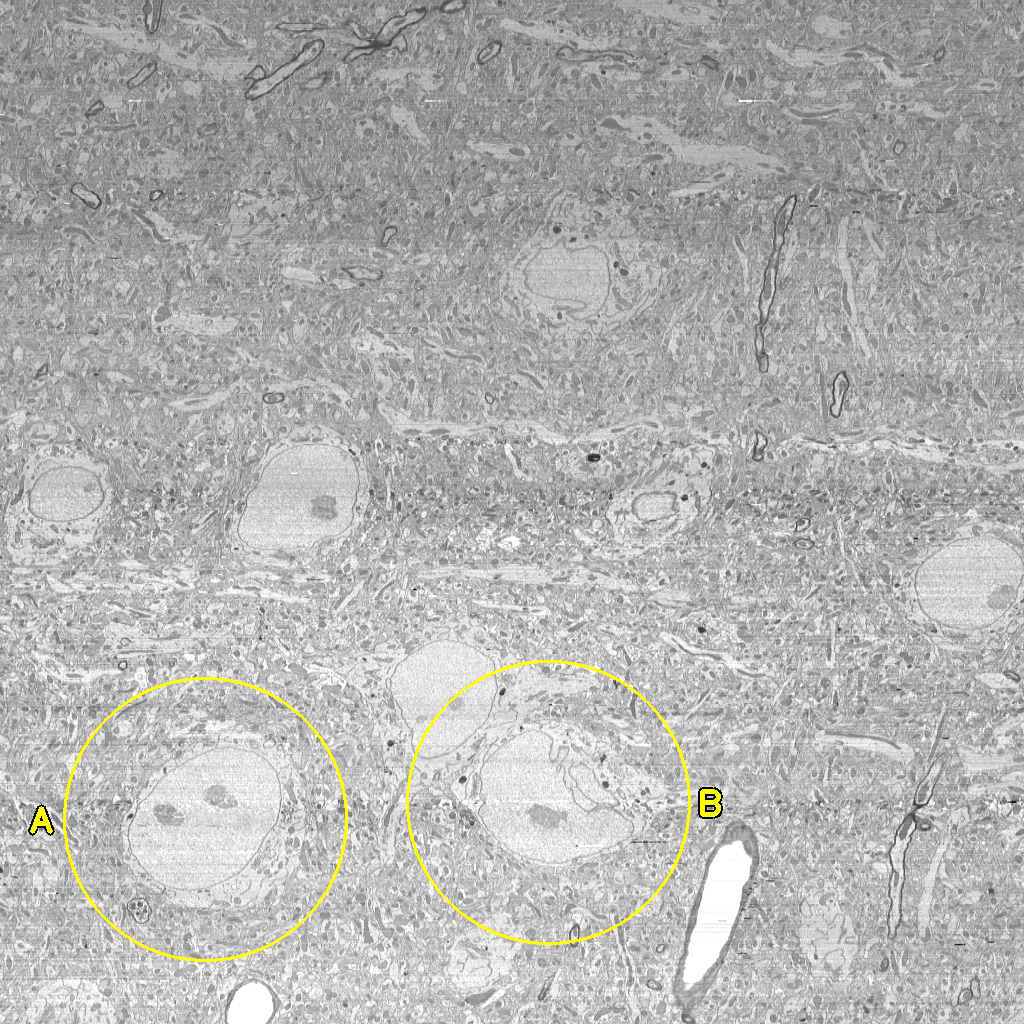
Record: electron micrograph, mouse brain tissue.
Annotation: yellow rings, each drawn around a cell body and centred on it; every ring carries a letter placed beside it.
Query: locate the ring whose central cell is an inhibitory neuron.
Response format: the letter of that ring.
B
